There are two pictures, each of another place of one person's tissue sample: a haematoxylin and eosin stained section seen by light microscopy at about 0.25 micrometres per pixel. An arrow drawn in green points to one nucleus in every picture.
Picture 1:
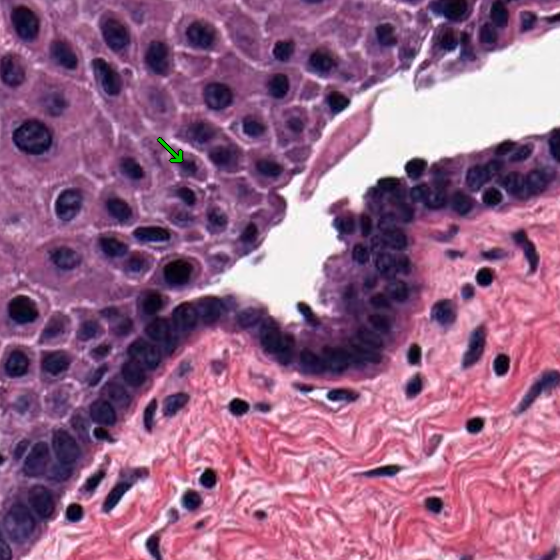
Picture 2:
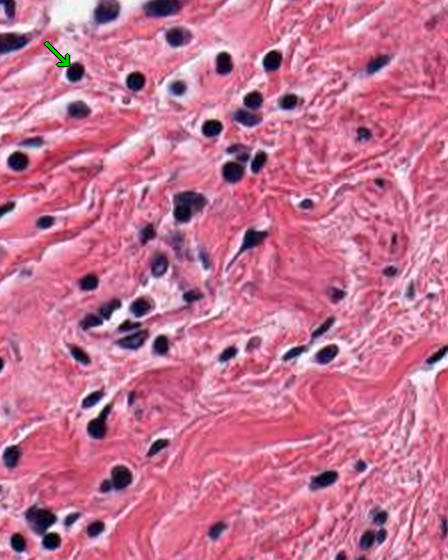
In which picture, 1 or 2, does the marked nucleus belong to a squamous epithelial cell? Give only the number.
1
